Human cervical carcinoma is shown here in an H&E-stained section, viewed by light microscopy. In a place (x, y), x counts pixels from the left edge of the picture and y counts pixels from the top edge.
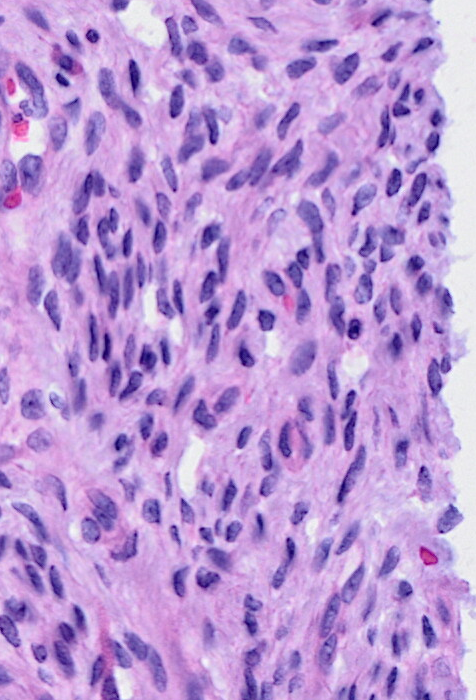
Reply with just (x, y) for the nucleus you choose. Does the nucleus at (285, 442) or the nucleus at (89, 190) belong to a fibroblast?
(89, 190)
